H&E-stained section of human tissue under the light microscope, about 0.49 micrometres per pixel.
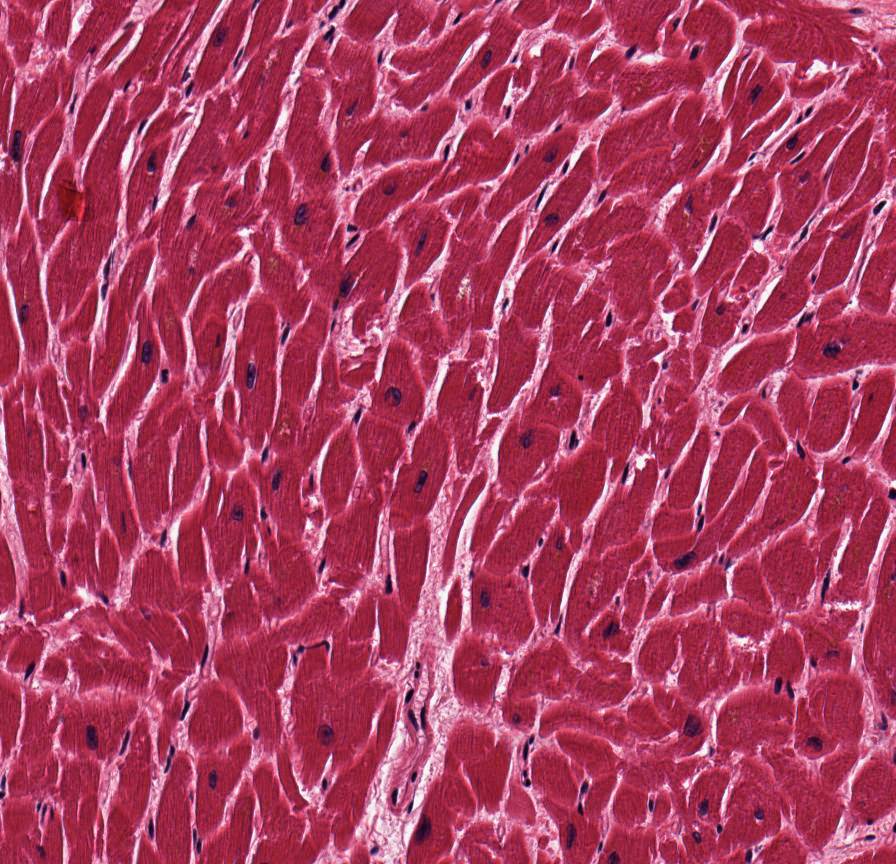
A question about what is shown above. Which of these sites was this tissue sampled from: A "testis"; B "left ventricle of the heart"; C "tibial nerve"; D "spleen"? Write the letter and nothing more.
B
